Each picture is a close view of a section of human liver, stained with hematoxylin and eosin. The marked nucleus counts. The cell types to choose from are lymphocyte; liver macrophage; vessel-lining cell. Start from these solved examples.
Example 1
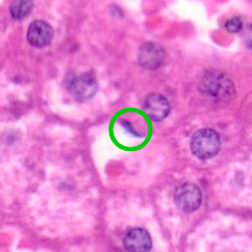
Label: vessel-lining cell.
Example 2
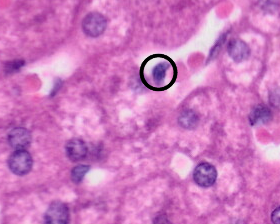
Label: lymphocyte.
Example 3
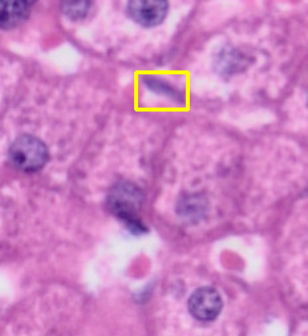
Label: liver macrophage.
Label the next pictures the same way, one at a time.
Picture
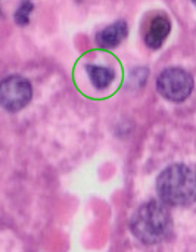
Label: lymphocyte.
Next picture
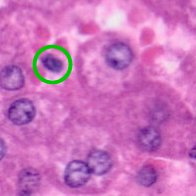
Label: lymphocyte.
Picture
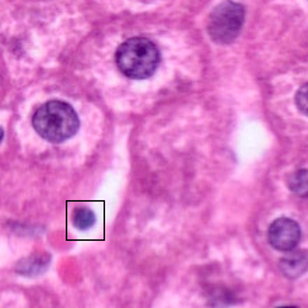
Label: lymphocyte.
